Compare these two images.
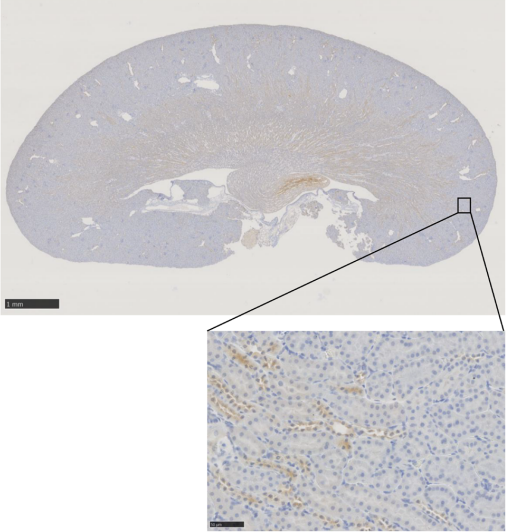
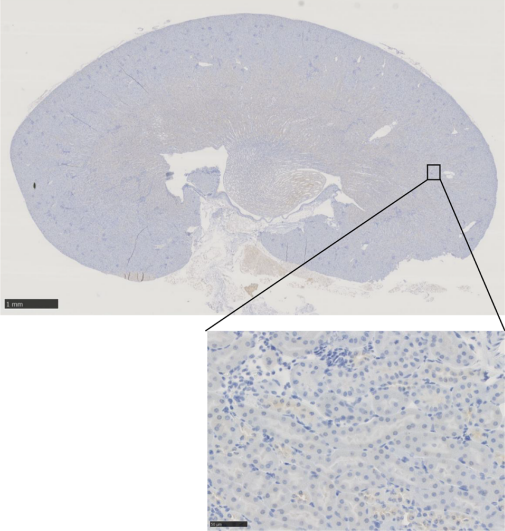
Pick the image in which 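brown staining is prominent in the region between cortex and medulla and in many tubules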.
the first image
